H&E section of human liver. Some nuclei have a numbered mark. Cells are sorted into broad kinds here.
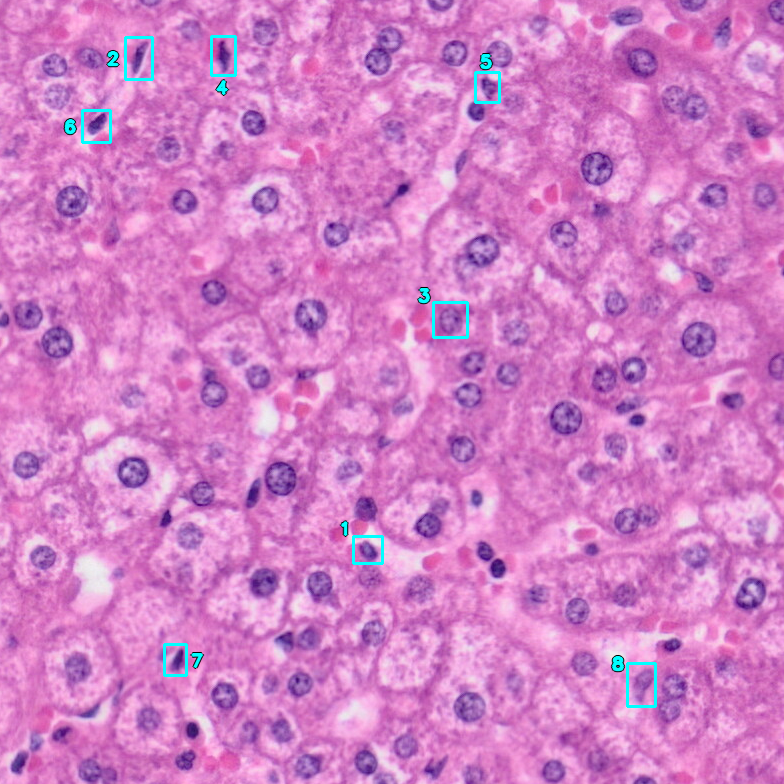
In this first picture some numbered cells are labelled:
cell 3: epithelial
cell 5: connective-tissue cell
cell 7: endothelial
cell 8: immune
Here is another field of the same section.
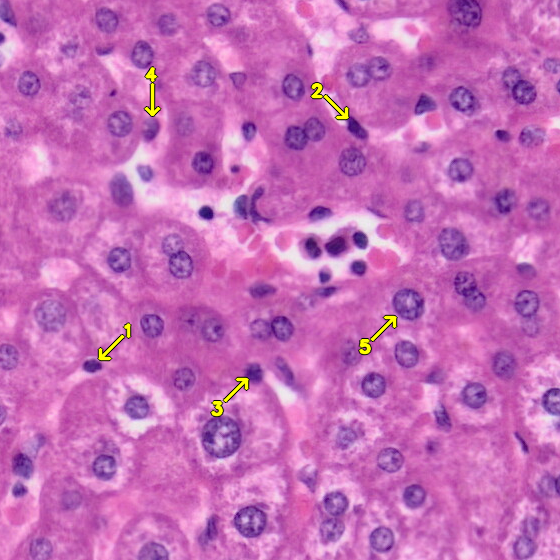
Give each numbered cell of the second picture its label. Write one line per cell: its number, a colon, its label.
1: immune
2: connective-tissue cell
3: connective-tissue cell
4: immune
5: epithelial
